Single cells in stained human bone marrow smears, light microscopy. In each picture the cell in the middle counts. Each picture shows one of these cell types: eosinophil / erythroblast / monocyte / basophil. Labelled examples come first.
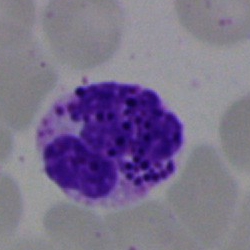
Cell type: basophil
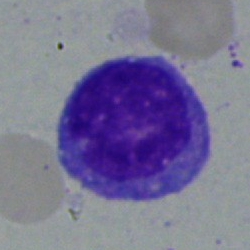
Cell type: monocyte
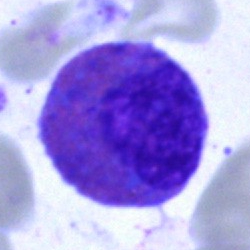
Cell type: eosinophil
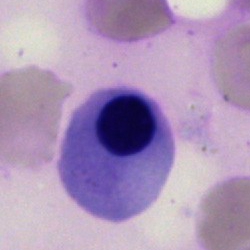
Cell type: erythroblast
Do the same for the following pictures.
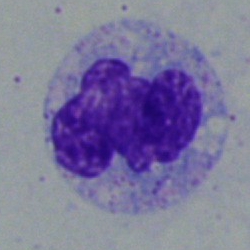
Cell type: monocyte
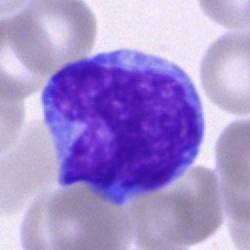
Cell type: monocyte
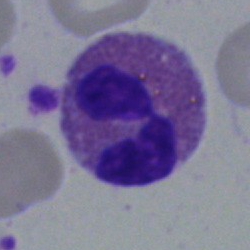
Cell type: eosinophil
